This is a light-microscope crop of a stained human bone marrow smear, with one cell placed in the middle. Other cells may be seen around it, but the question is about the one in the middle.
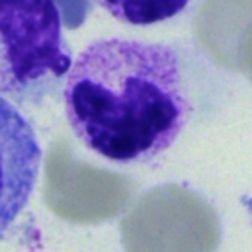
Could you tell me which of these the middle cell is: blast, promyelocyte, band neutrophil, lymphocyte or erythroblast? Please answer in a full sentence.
The centrally placed cell is classified as a band neutrophil.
